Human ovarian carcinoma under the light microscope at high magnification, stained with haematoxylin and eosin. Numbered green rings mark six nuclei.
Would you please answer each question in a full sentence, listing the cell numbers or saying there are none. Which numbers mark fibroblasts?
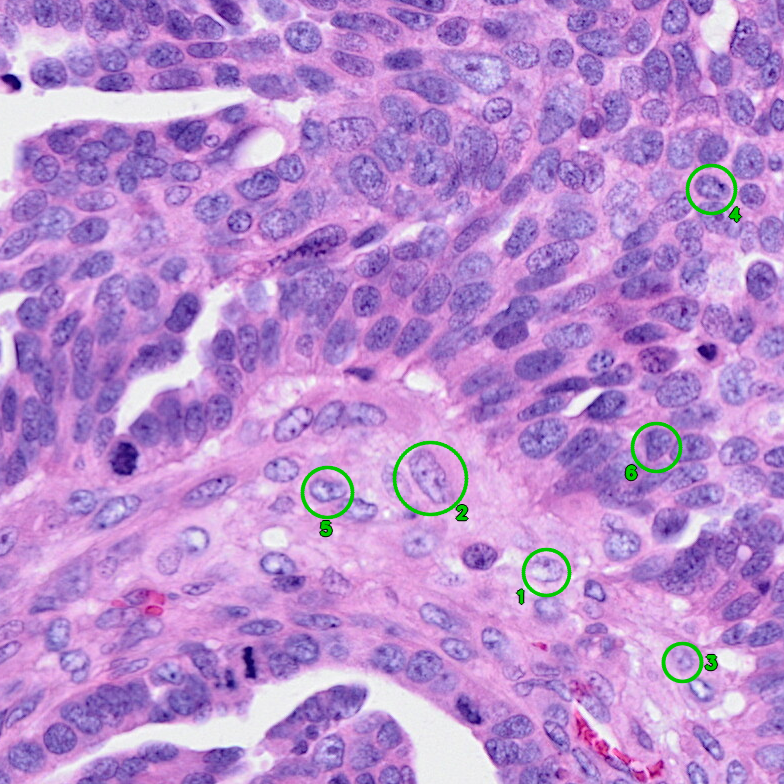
The cells with labels 1, 2, 3 and 5 are fibroblasts.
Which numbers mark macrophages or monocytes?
Cell 4 is the only numbered cell that is a macrophage or monocyte.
